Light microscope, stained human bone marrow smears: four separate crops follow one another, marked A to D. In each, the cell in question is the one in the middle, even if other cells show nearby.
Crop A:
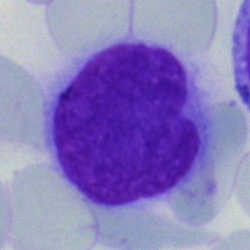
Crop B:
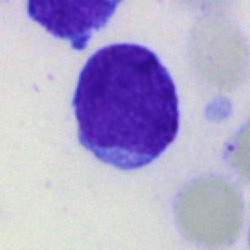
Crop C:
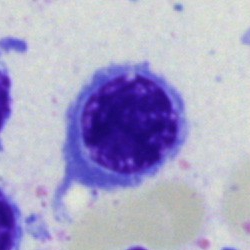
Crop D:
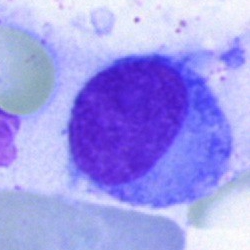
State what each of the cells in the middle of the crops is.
A: blast
B: blast
C: erythroblast
D: hairy cell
